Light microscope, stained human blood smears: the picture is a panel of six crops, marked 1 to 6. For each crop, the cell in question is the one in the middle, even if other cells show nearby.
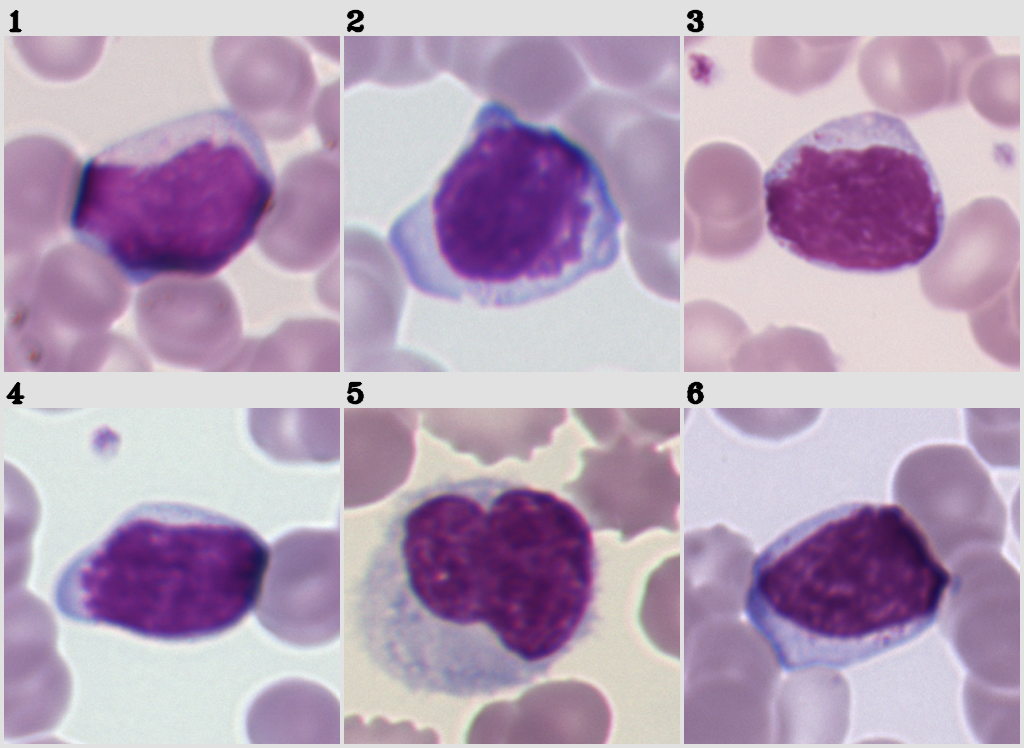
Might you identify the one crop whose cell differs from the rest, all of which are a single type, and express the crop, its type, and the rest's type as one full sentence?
Crop 5 does not match the others; it shows a hairy cell, and they show large granular lymphocytes.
